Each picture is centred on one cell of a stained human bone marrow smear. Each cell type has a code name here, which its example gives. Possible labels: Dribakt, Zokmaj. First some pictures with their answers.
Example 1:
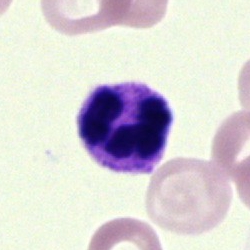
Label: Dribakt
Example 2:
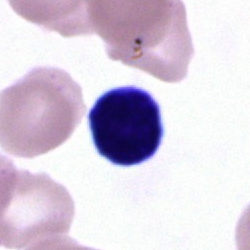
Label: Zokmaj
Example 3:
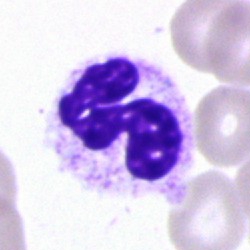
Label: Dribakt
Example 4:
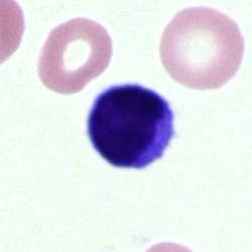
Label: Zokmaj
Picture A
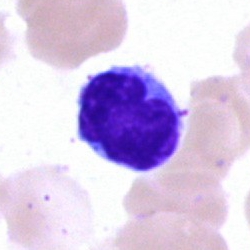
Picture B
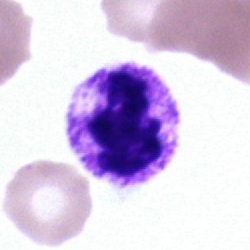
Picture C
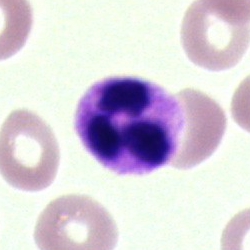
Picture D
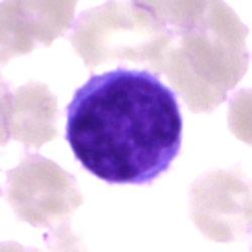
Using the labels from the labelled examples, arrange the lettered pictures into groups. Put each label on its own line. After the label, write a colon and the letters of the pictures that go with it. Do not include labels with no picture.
Dribakt: B, C
Zokmaj: A, D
